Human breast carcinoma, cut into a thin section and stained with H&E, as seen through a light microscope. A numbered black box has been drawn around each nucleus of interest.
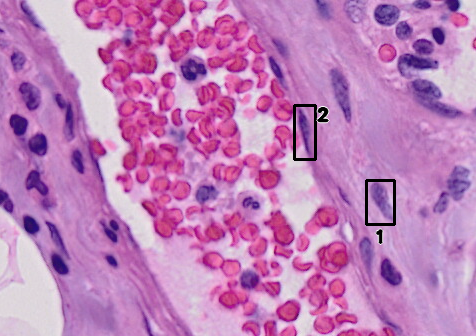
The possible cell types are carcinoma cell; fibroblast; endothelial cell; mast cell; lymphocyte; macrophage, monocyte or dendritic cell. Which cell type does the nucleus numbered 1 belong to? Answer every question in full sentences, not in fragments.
At number 1, the marked cell is a fibroblast.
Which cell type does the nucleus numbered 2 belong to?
The cell whose nucleus carries the number 2 is an endothelial cell.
